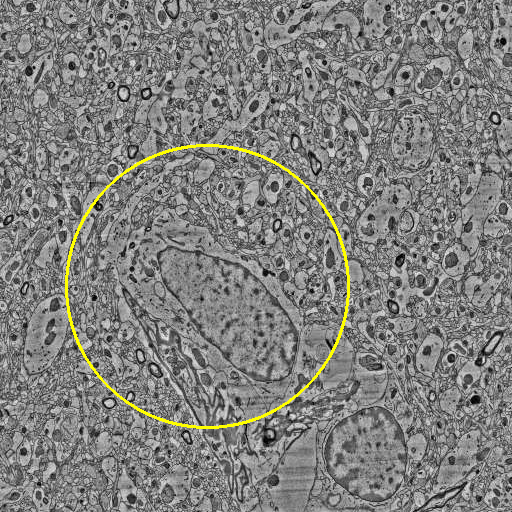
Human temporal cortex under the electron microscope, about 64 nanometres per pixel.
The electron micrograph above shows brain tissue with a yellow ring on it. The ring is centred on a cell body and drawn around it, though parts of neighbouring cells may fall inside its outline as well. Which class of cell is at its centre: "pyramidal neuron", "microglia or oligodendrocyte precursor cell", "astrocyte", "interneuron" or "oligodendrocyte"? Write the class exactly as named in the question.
microglia or oligodendrocyte precursor cell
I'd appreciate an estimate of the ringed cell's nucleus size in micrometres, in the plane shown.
Approximately 11 micrometres long and 5 micrometres wide, so clearly longer than it is wide in this plane.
